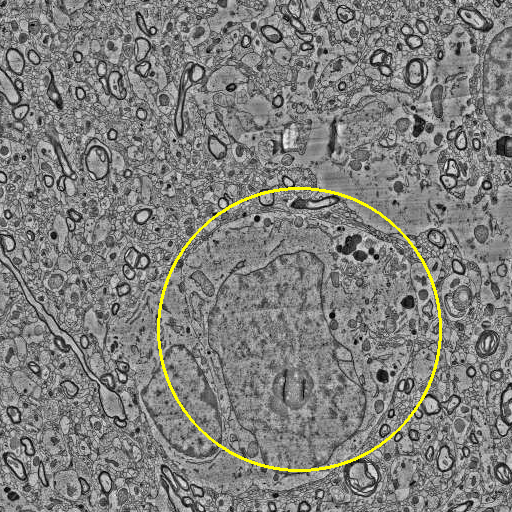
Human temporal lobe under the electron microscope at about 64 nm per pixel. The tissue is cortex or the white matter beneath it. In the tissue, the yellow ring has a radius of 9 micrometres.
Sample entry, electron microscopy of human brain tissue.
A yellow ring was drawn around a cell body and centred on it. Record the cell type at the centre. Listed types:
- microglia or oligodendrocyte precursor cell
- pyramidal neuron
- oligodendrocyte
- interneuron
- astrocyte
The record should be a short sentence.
The cell at the ring's centre is a pyramidal neuron.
